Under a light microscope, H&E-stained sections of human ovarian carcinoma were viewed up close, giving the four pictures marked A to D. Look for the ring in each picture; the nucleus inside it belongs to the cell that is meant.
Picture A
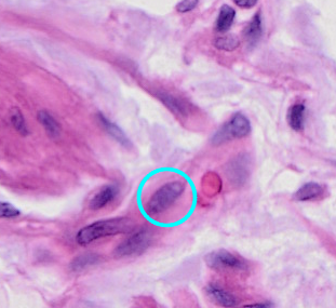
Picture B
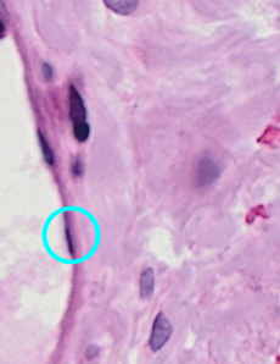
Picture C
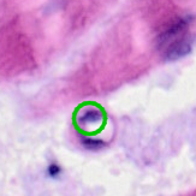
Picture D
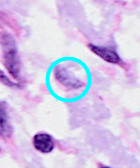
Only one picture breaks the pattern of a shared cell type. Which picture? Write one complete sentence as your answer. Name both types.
The different one is picture D; it shows a fibroblast, whereas all the others show endothelial cells.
